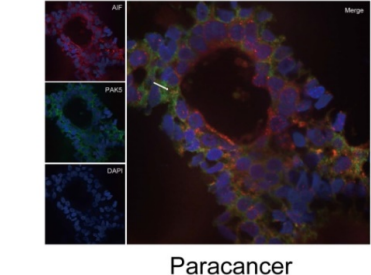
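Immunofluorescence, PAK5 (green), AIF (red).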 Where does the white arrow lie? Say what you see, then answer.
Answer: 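The white arrow points beside a blue nucleus, not onto it.
Answer: cytoplasm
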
